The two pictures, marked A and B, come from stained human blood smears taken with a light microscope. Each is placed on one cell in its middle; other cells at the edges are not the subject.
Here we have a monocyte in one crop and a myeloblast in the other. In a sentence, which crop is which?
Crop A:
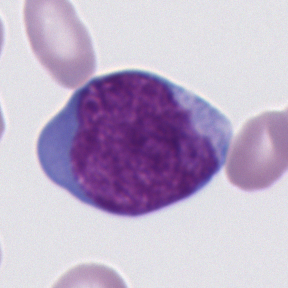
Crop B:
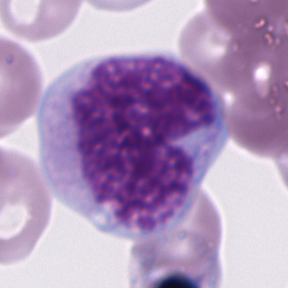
Displayed in crop A is a myeloblast, while crop B displays a monocyte.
